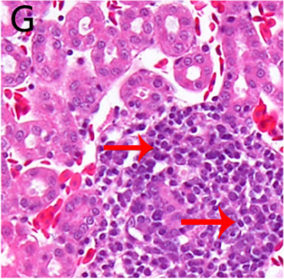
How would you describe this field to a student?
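This is renal cortex with tubules surrounding a large focus of small round interstitial cells. The focus is a dense aggregate of cells with round, darkly purple nuclei and very little cytoplasm, packed closely together. Around it lie tubules lined by cuboidal epithelial cells with pink cytoplasm and round nuclei. Red-stained red blood cells are seen in small vessels between the tubules. The dense cellular aggregate disrupts the normal interstitium between the tubules.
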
